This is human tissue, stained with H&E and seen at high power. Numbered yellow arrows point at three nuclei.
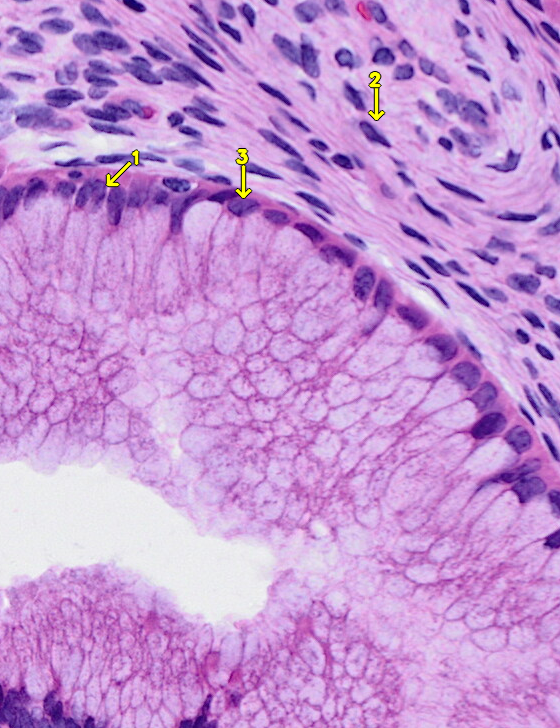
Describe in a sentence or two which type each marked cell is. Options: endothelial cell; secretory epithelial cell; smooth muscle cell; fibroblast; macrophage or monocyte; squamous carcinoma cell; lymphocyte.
Cell 1 is a secretory epithelial cell, cell 2 is a fibroblast and cell 3 is a secretory epithelial cell.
